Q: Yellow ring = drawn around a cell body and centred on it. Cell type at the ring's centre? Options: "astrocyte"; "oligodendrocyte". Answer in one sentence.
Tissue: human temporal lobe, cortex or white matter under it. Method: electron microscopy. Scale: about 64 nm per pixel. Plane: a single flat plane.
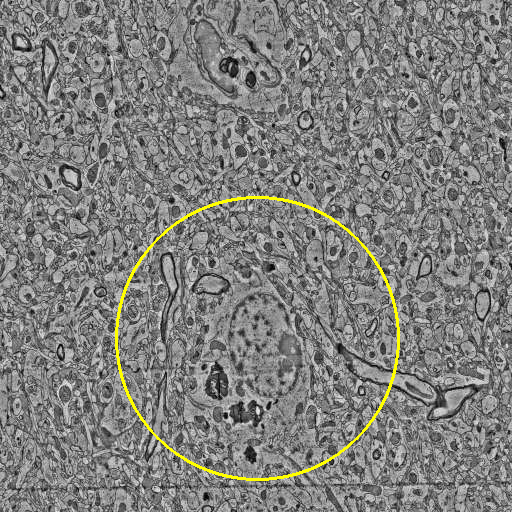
Centred in the ring is an astrocyte.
